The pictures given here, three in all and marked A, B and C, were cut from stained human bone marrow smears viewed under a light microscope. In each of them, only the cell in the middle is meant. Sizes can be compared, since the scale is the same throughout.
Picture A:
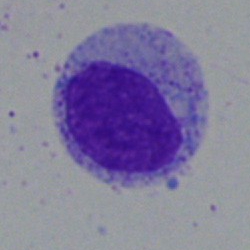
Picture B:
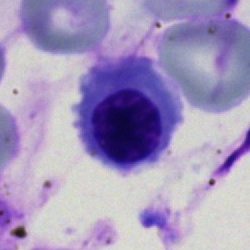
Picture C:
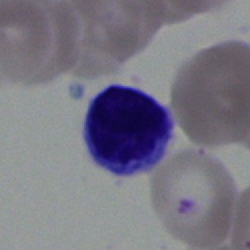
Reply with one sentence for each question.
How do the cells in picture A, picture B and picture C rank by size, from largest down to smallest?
Going down, they run A, B, C.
